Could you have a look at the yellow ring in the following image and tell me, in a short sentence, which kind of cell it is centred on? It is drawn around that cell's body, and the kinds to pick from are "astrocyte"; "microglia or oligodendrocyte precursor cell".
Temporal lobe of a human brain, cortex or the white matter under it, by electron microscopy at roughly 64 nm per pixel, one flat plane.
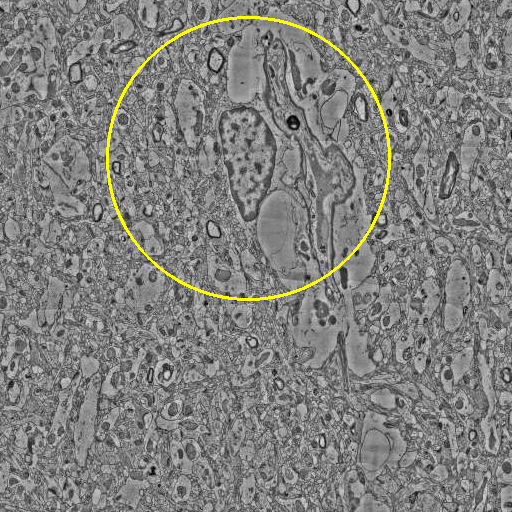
The ring is centred on the body of a microglial cell or oligodendrocyte precursor cell.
